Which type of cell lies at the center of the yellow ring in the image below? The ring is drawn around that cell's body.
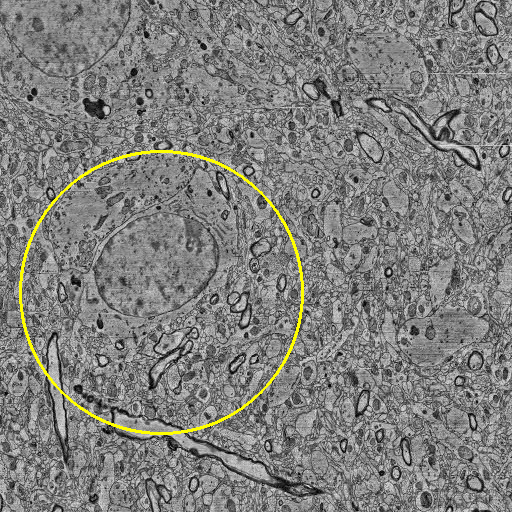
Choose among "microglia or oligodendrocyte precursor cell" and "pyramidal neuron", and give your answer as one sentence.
The cell body at the center belongs to a microglial cell or oligodendrocyte precursor cell.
